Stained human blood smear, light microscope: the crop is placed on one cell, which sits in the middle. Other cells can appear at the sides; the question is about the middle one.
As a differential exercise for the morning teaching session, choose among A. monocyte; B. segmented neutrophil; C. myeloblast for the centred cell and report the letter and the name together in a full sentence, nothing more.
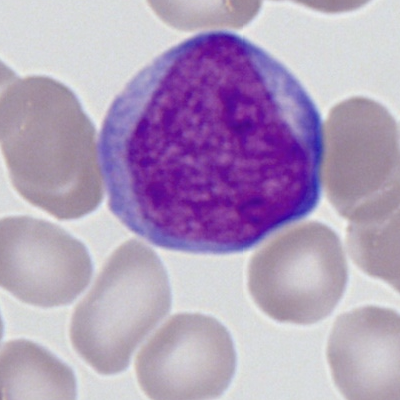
Option C is correct, naming the cell in the middle as a myeloblast.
